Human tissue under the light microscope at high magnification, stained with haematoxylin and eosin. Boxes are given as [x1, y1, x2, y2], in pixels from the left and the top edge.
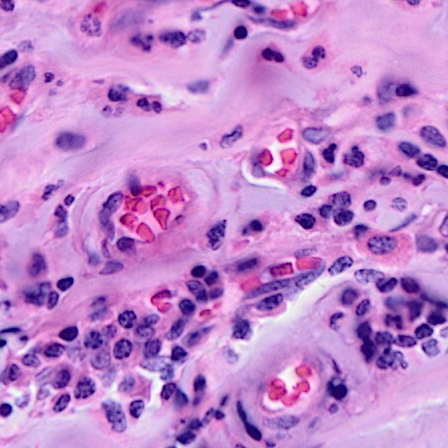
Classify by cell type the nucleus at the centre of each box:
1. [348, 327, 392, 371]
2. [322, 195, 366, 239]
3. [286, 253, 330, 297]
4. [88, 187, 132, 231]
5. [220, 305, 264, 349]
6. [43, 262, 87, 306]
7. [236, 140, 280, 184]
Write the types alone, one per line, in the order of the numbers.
lymphocyte
lymphocyte
endothelial cell
endothelial cell
lymphocyte
lymphocyte
endothelial cell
